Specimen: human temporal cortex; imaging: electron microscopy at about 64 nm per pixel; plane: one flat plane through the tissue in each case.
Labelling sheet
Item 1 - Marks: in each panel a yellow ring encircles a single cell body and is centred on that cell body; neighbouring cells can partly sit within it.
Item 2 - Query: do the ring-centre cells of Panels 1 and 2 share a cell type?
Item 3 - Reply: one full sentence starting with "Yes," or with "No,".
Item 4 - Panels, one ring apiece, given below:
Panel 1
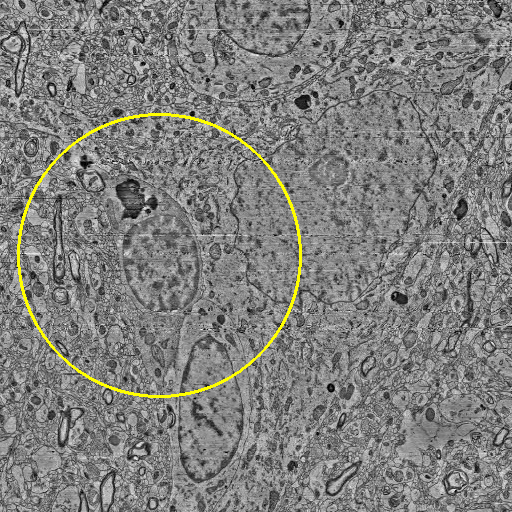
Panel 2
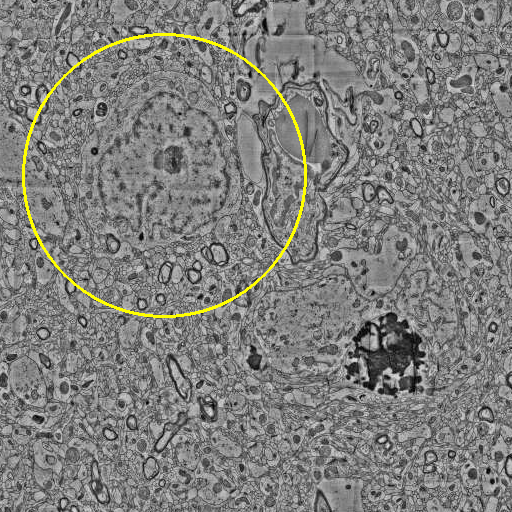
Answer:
No, Panel 1 and Panel 2 show two cell types at the centres of their rings.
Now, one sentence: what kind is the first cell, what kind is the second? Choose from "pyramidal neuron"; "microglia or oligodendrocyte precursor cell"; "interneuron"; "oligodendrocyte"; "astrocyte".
The first picture has an oligodendrocyte at its ring centre, and the second has an interneuron.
